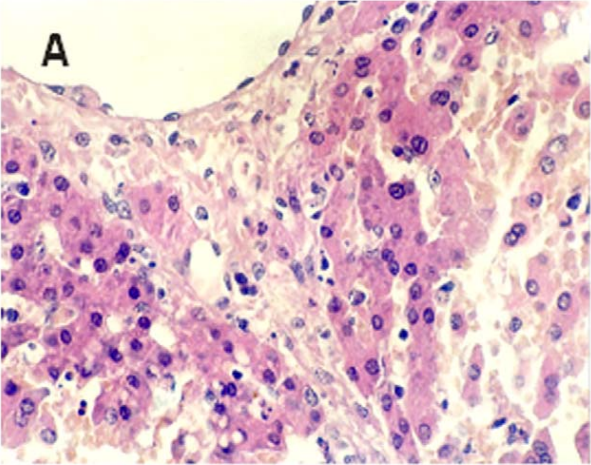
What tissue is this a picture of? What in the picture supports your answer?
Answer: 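Polygonal cells with round central nuclei arranged in cords. A large vessel lumen borders the top edge. The answer: liver.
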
